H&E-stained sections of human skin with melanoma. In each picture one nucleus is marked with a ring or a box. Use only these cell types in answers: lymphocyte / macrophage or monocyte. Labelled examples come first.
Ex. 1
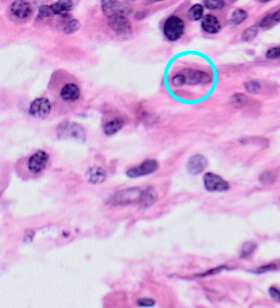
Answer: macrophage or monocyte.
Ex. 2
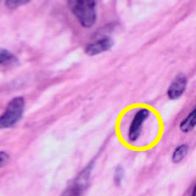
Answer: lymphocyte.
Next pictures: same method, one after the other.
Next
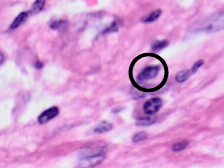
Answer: lymphocyte.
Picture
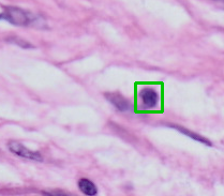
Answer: lymphocyte.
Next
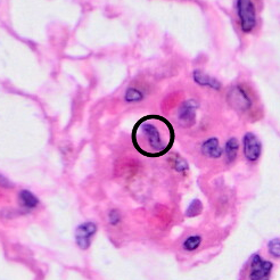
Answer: macrophage or monocyte.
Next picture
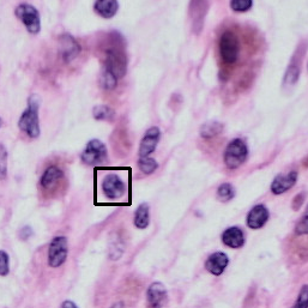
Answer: lymphocyte.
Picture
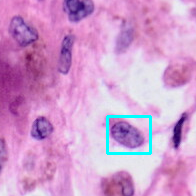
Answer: macrophage or monocyte.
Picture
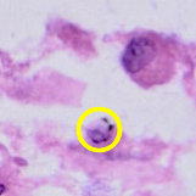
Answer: macrophage or monocyte.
